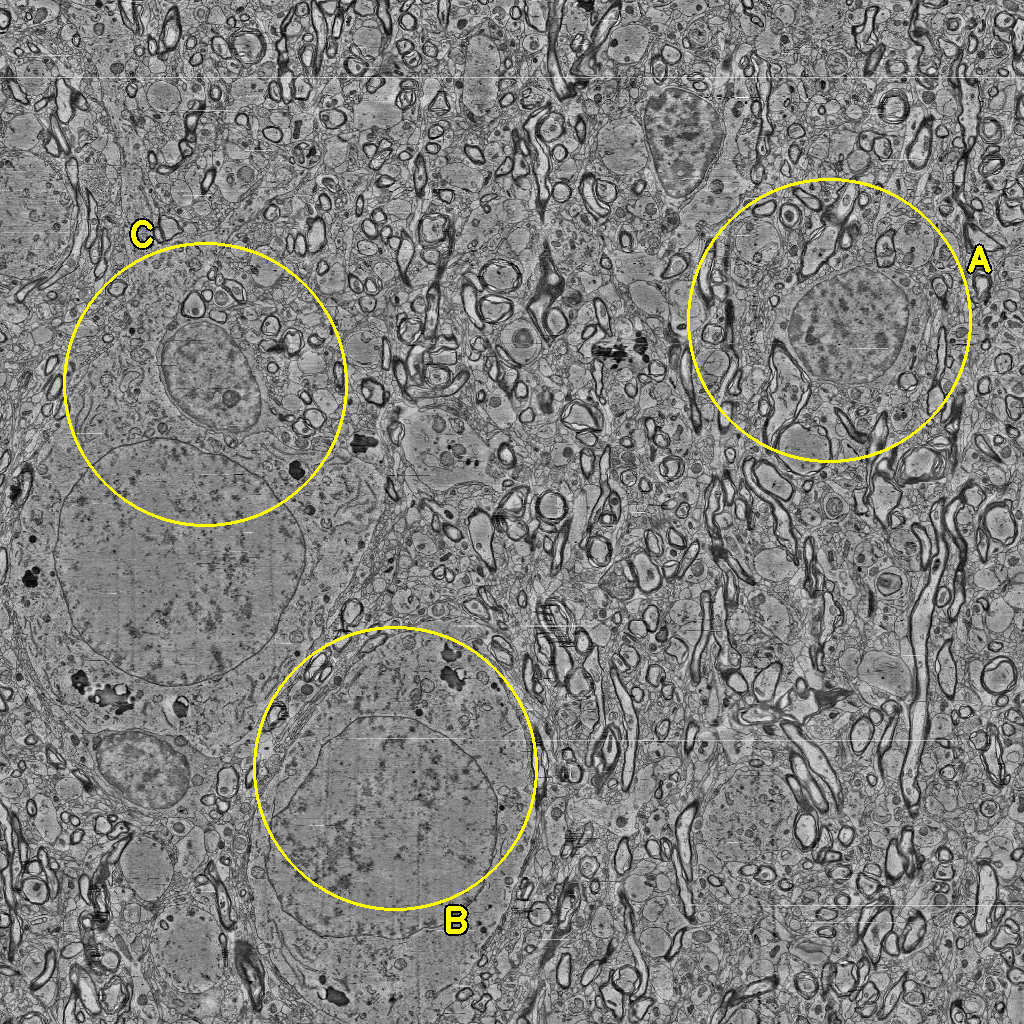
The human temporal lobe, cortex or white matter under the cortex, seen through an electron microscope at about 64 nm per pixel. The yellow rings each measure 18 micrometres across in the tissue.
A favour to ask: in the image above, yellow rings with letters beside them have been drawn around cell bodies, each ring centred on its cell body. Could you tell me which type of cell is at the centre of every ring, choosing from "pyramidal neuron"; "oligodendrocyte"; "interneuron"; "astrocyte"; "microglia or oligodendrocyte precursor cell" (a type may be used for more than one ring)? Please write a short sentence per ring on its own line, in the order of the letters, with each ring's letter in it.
Ring A holds an oligodendrocyte at its centre.
Ring B holds a pyramidal neuron at its centre.
Ring C holds an oligodendrocyte at its centre.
